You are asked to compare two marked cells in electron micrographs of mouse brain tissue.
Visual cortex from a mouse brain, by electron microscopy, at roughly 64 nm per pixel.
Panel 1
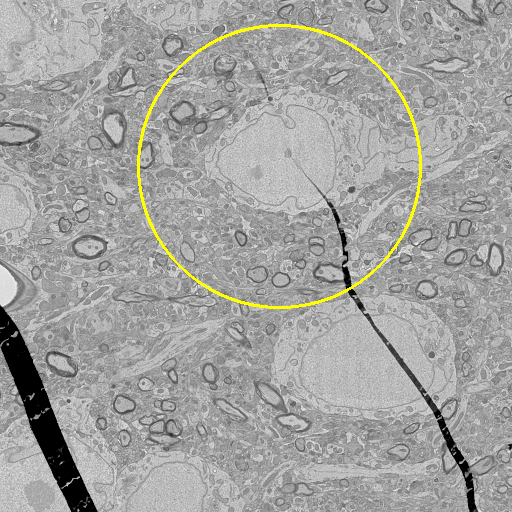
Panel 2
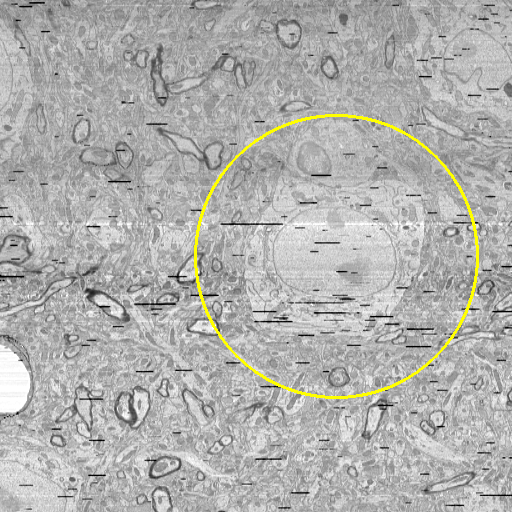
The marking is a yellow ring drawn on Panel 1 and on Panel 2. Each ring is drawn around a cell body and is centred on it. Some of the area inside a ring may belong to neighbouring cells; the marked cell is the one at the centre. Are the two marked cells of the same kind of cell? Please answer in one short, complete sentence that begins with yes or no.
Yes, the two marked cells are of the same kind.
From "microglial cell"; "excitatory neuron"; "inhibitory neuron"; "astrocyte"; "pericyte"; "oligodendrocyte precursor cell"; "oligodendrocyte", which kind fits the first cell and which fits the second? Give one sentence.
Both rings mark an excitatory neuron, one in each picture.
